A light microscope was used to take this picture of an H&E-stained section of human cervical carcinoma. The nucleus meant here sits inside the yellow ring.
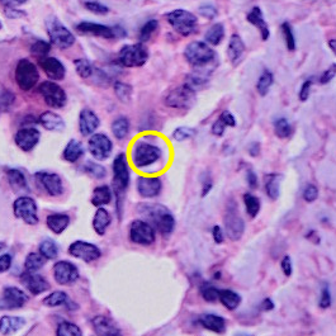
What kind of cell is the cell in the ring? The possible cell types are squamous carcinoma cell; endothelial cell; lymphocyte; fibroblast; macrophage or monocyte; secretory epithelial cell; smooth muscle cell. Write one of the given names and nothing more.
lymphocyte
